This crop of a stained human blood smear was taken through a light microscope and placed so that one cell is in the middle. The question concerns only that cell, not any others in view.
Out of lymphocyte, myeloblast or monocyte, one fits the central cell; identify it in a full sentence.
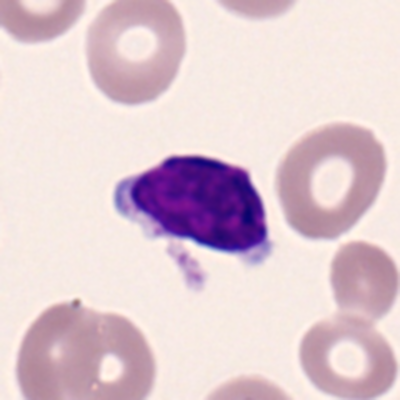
Centred in the crop is a lymphocyte.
